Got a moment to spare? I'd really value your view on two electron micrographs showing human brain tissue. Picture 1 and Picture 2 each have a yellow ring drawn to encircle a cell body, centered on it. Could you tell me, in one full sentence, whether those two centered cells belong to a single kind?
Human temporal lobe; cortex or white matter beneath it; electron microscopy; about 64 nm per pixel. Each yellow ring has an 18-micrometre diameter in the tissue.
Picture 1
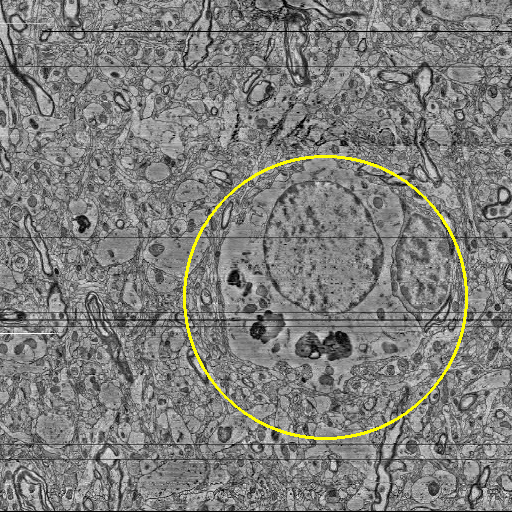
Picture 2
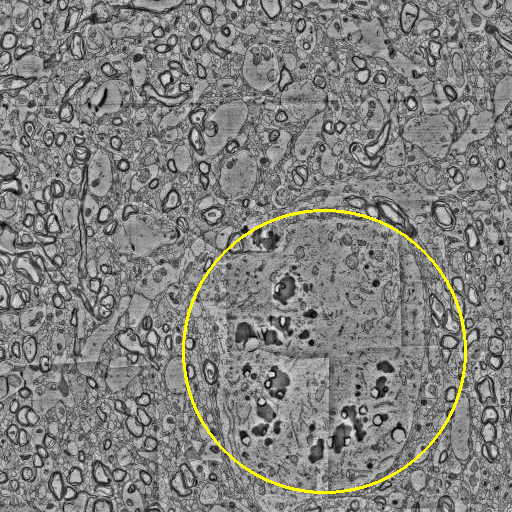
No, the two centered cells in Picture 1 and Picture 2 are of two kinds.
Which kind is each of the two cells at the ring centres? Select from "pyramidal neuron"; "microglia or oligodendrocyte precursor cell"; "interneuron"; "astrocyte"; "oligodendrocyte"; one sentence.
The cell at the centre of the ring is an astrocyte in the first picture and a pyramidal neuron in the second.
